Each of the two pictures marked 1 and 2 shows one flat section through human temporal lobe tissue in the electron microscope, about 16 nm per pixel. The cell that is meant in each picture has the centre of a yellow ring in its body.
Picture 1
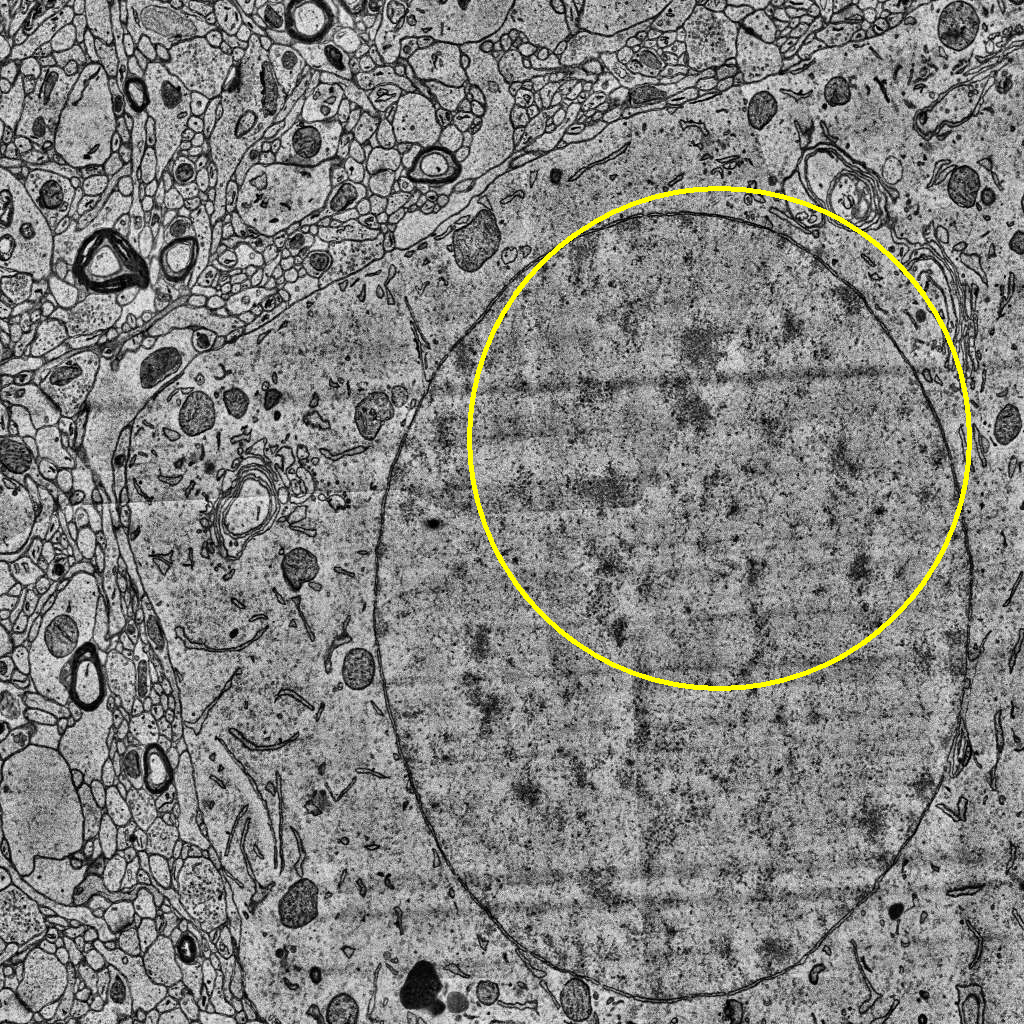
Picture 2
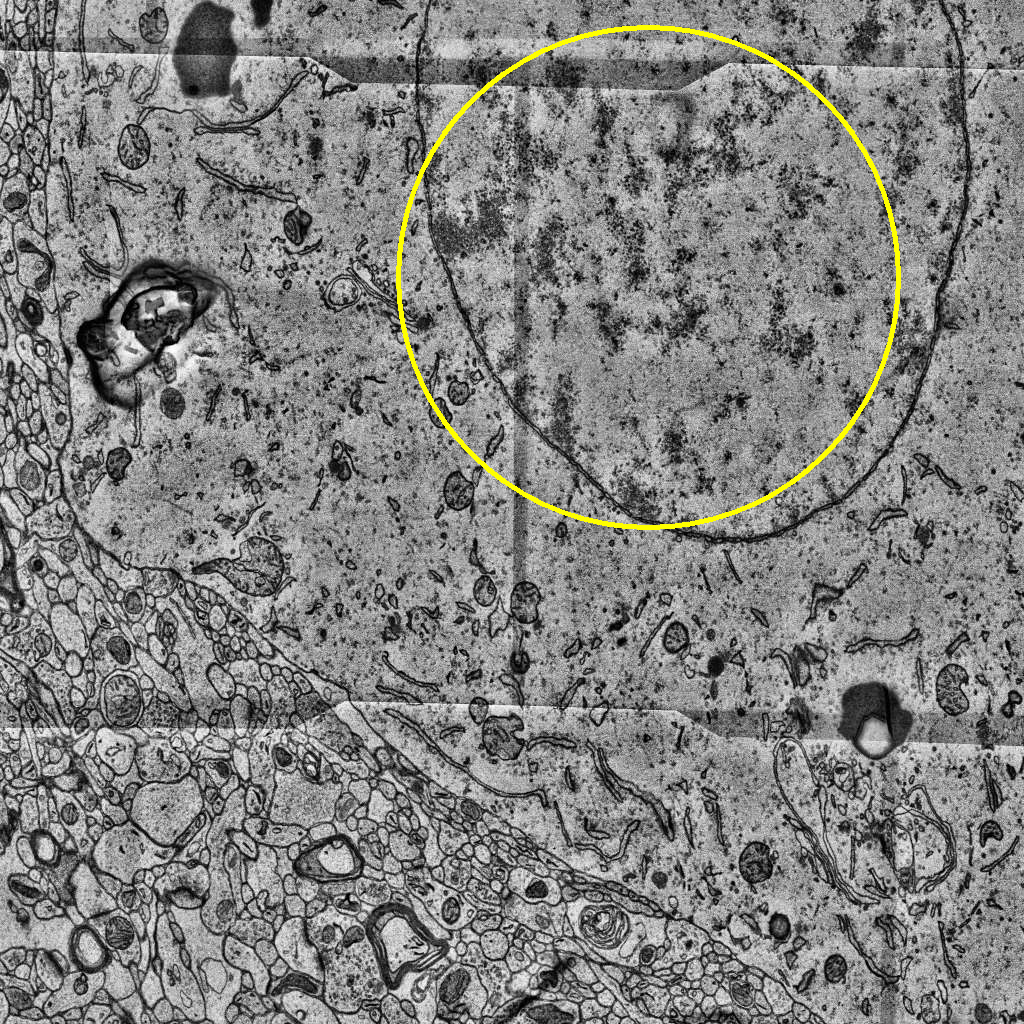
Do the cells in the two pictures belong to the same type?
Yes, both are pyramidal neurons.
